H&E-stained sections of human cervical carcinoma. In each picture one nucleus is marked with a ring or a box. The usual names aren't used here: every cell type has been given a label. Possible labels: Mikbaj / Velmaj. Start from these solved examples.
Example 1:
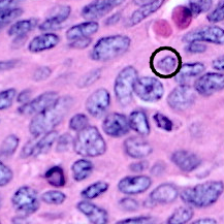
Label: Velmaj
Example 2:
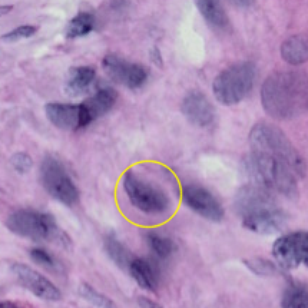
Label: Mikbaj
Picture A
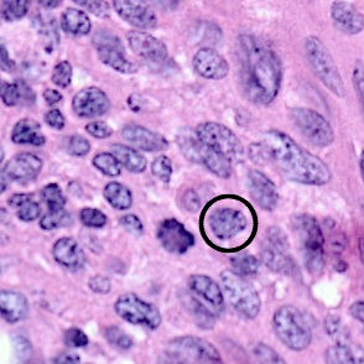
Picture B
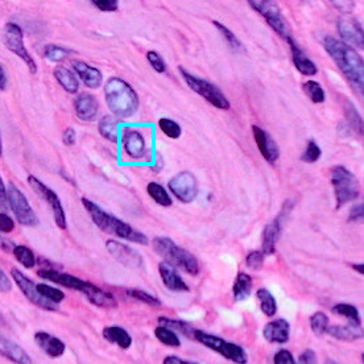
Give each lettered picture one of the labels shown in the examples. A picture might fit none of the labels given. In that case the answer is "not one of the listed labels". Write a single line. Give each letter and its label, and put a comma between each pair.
A Velmaj, B not one of the listed labels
